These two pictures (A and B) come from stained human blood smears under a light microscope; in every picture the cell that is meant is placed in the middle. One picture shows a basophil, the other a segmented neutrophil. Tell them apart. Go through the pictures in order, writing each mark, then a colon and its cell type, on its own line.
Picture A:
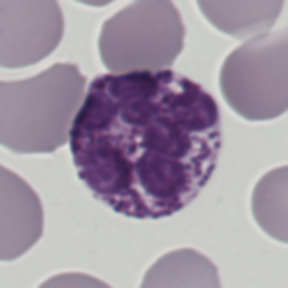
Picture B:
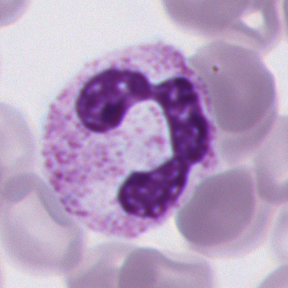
A: basophil
B: segmented neutrophil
